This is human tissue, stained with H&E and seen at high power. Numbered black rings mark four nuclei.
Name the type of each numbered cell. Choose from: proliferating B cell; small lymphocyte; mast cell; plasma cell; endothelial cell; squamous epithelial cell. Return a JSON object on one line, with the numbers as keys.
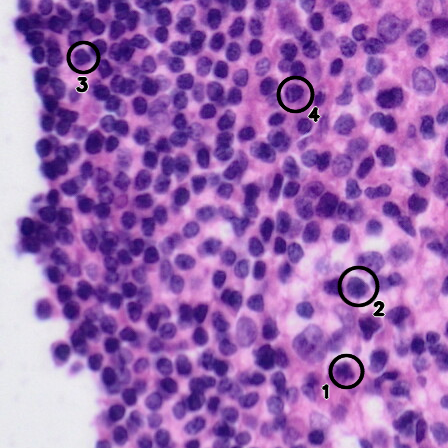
{"1": "proliferating B cell", "2": "proliferating B cell", "3": "small lymphocyte", "4": "plasma cell"}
